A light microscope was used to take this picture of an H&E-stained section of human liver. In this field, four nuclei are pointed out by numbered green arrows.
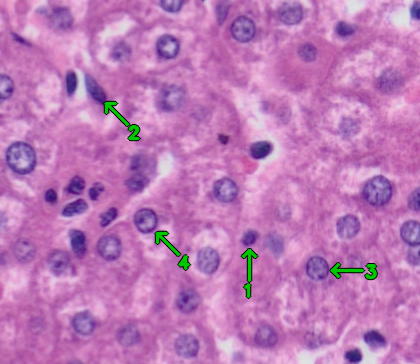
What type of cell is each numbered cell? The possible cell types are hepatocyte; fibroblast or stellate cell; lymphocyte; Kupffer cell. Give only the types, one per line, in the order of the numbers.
lymphocyte
Kupffer cell
hepatocyte
hepatocyte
